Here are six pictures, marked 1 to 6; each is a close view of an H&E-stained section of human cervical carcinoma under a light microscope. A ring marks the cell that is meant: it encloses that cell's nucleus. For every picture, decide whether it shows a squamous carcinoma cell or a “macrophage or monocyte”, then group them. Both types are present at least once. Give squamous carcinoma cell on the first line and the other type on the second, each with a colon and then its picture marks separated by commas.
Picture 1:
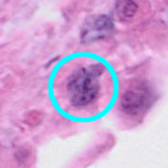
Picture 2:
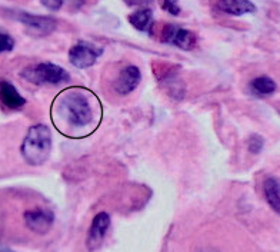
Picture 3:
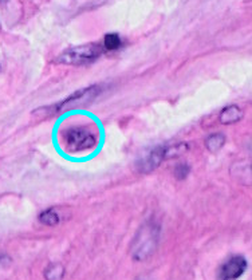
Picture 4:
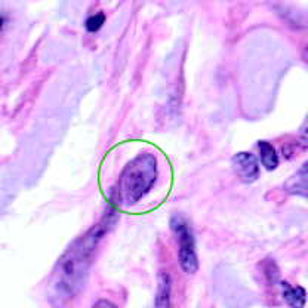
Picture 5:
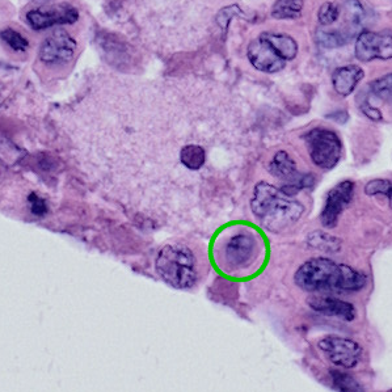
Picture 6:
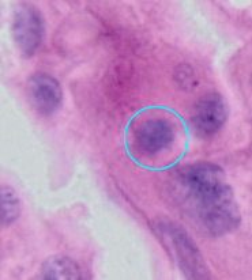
squamous carcinoma cell: 5, 6
macrophage or monocyte: 1, 2, 3, 4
